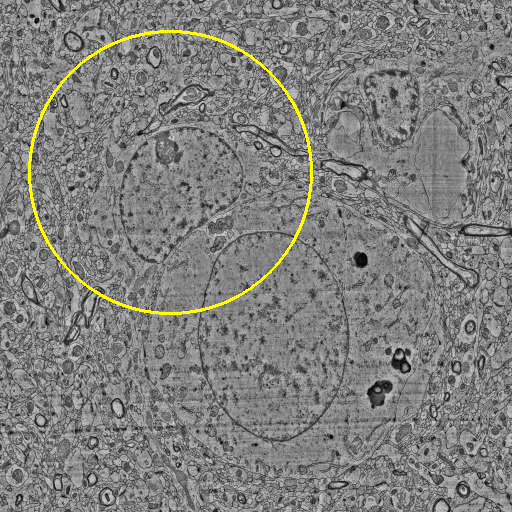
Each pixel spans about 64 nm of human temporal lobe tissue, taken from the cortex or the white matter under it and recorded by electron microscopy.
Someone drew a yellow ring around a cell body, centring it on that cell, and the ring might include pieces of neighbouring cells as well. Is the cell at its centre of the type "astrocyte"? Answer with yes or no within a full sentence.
Yes, within the picture, the cell the ring is centred on qualifies as that type.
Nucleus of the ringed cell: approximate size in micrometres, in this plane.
About 9 micrometres by about 7 micrometres in this plane.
